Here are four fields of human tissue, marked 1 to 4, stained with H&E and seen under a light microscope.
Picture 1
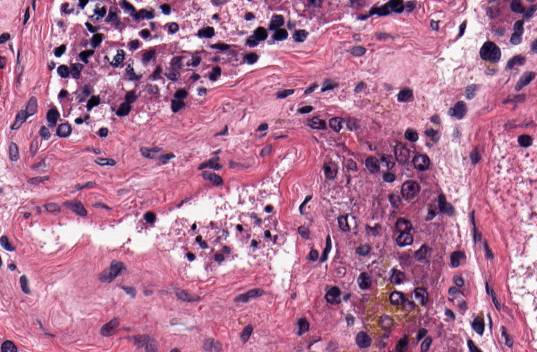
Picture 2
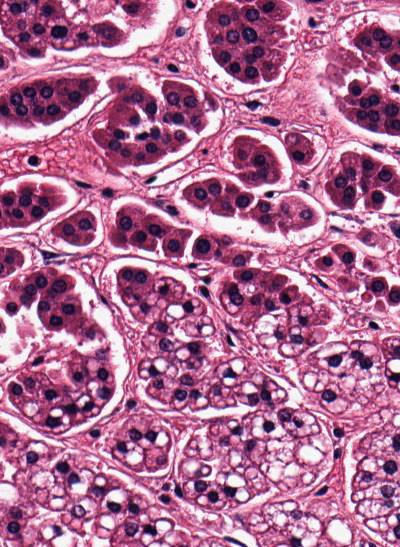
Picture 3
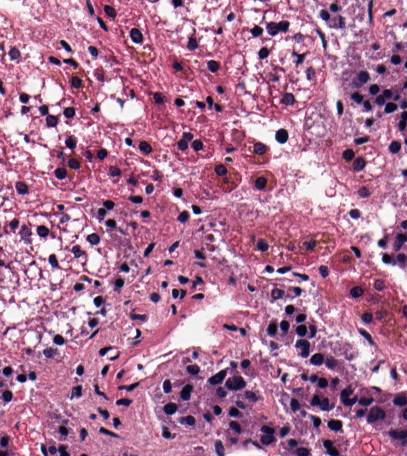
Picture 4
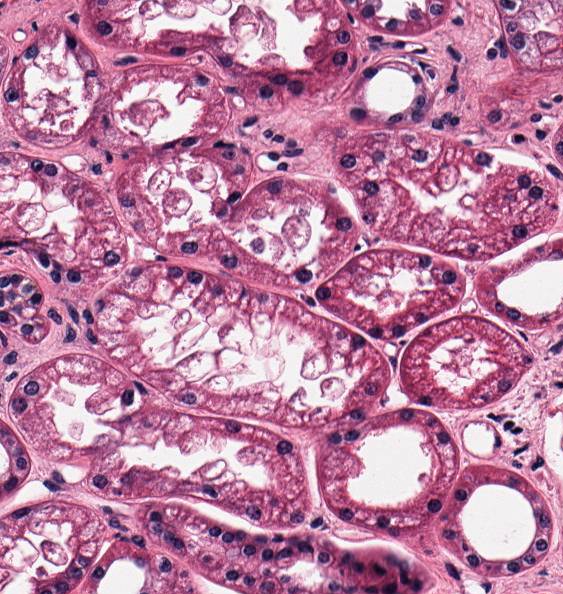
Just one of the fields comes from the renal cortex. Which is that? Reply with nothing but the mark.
4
